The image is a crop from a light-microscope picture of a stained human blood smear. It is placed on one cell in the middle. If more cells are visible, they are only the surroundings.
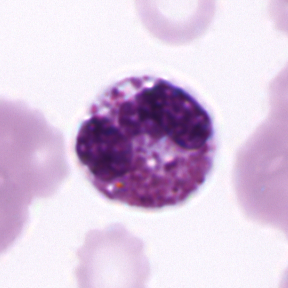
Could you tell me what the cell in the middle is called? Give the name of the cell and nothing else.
eosinophil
